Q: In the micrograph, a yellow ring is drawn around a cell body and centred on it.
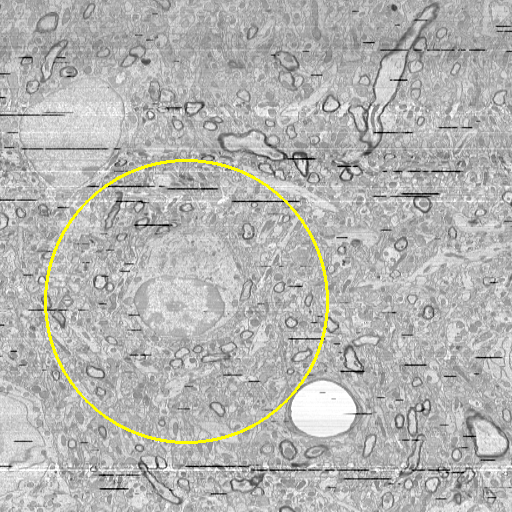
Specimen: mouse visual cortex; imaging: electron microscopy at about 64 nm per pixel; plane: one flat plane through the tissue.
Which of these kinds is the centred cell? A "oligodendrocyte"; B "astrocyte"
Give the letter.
A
